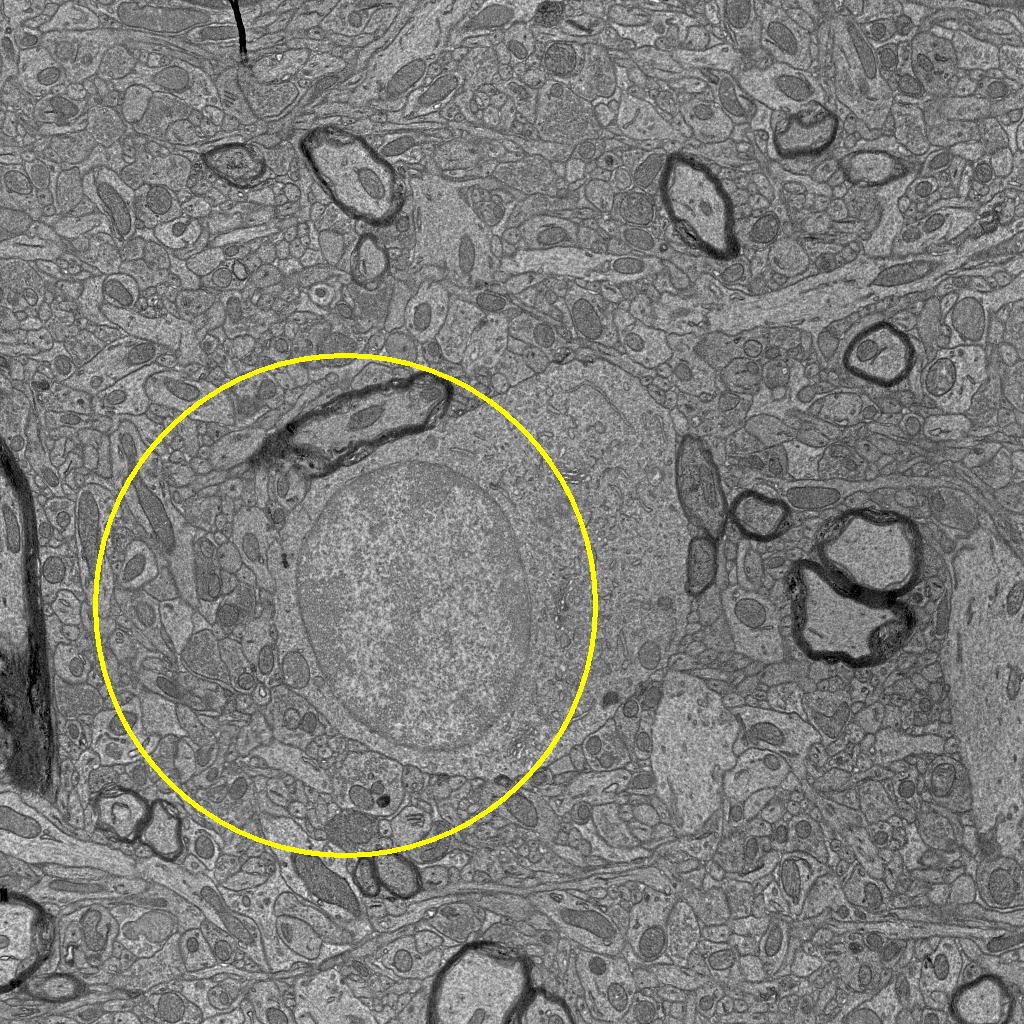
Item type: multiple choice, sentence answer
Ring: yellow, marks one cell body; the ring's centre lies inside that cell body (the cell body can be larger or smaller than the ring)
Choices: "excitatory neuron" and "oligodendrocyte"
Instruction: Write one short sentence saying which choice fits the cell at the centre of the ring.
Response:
The centre of this ring lies on an oligodendrocyte.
